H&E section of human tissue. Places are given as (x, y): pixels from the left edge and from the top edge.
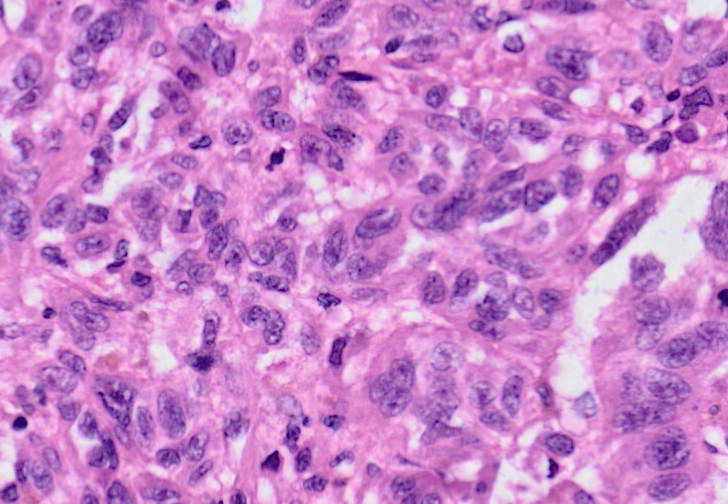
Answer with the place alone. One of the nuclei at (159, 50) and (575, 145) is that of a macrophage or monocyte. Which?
(159, 50)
